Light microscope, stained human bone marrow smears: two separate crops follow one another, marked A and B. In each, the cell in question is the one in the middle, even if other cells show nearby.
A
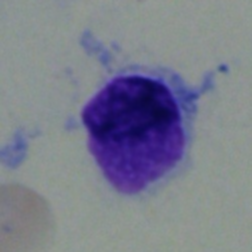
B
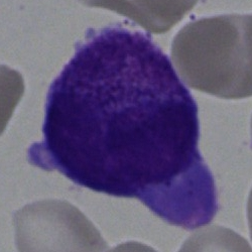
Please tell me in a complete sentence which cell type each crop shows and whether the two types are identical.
No, sorry, crop A shows a hairy cell and crop B shows a blast.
